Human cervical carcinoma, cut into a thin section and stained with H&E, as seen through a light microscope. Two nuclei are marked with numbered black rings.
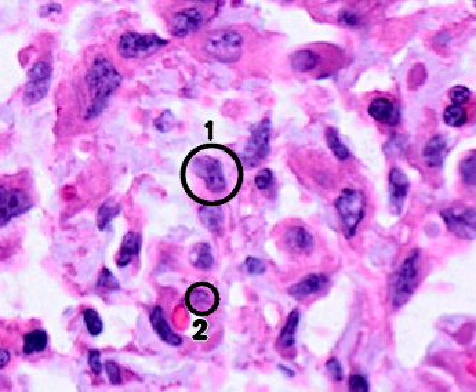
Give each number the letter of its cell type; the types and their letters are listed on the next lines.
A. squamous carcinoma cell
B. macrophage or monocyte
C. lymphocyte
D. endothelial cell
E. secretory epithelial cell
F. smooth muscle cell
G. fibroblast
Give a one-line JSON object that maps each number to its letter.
{"1": "B", "2": "D"}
